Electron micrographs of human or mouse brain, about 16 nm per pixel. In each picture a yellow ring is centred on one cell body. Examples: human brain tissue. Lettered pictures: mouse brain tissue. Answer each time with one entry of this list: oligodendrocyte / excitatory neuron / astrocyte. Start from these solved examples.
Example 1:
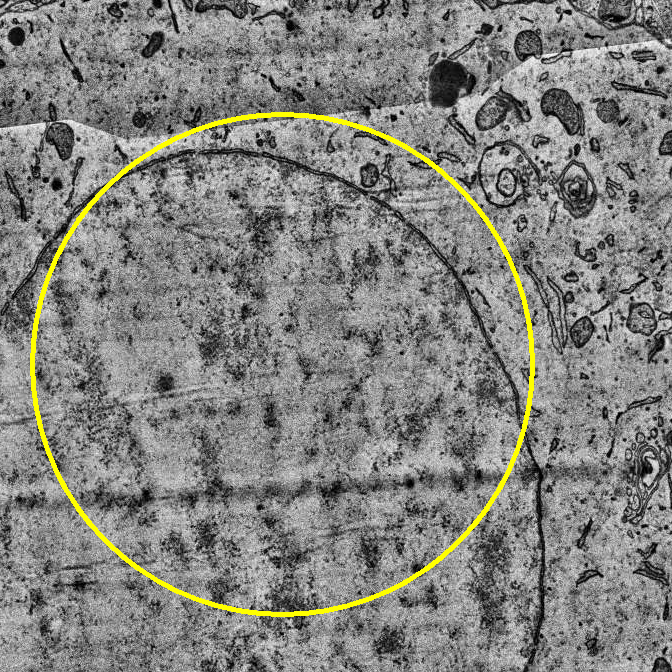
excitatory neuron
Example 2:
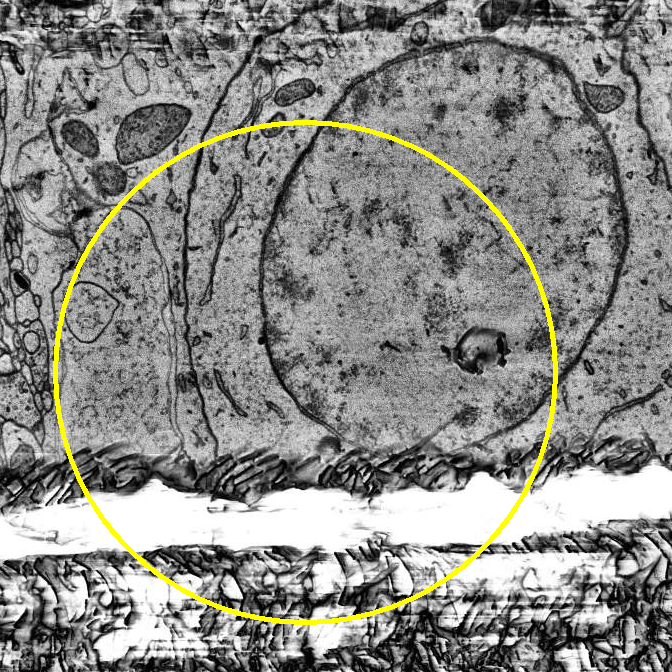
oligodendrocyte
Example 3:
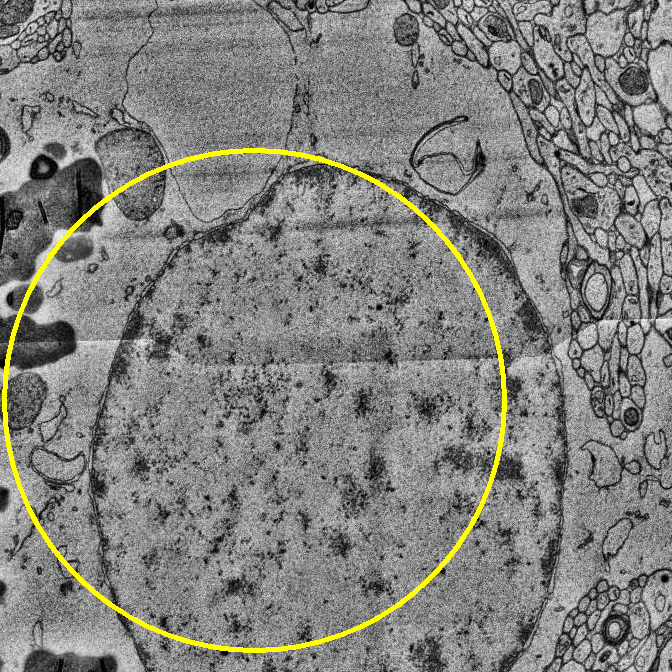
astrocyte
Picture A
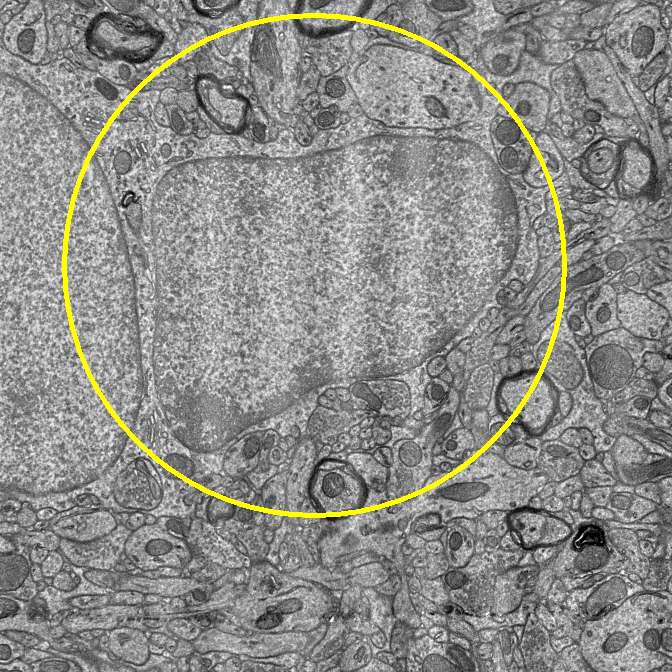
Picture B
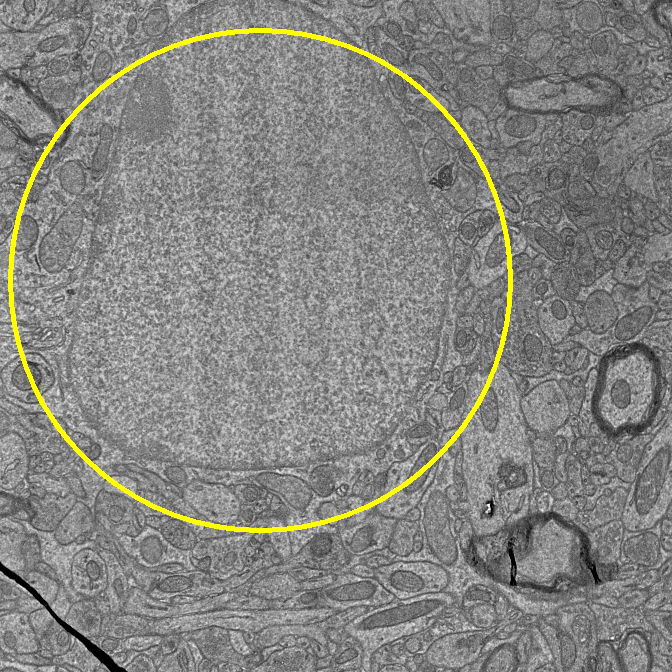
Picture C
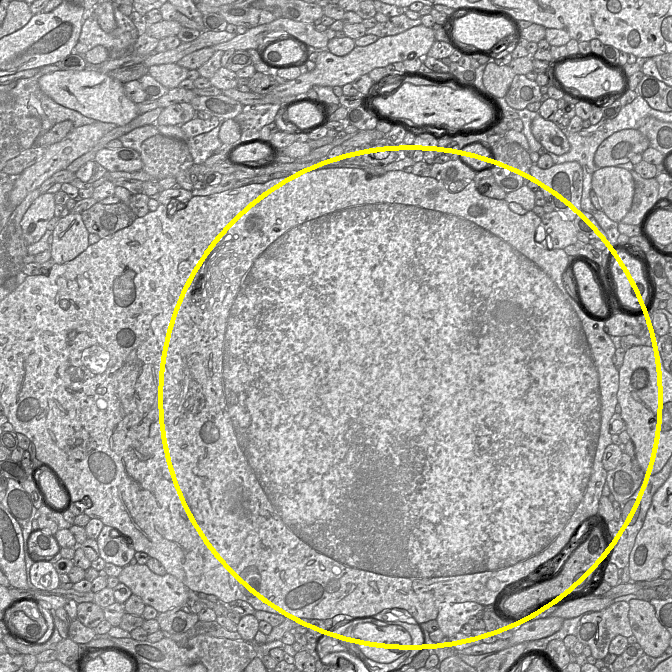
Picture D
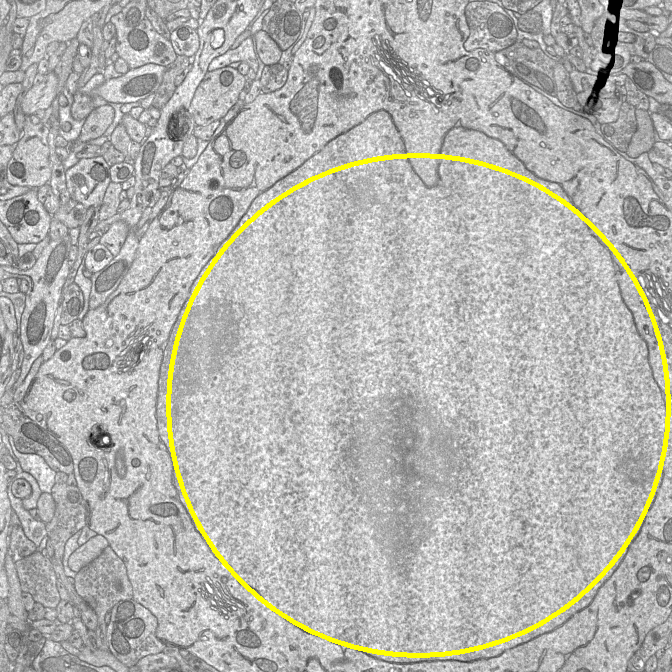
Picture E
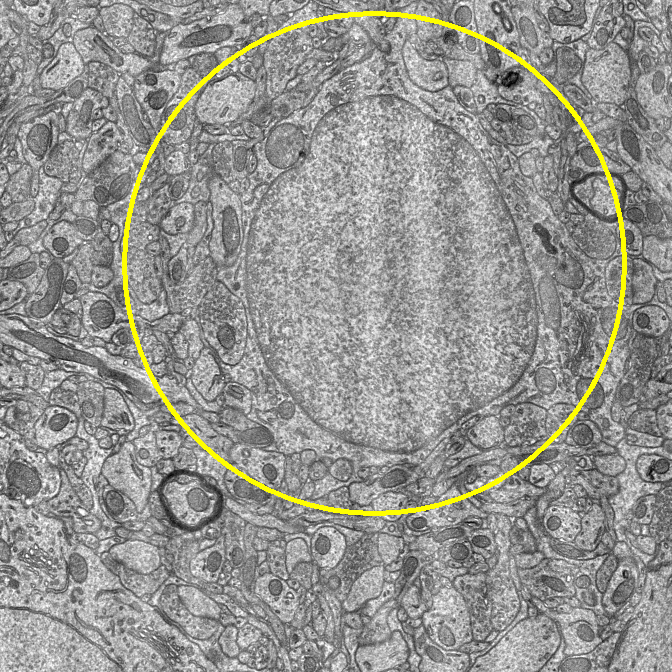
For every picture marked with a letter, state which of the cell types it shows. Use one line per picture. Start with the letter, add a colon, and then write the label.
A: astrocyte
B: astrocyte
C: oligodendrocyte
D: excitatory neuron
E: astrocyte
